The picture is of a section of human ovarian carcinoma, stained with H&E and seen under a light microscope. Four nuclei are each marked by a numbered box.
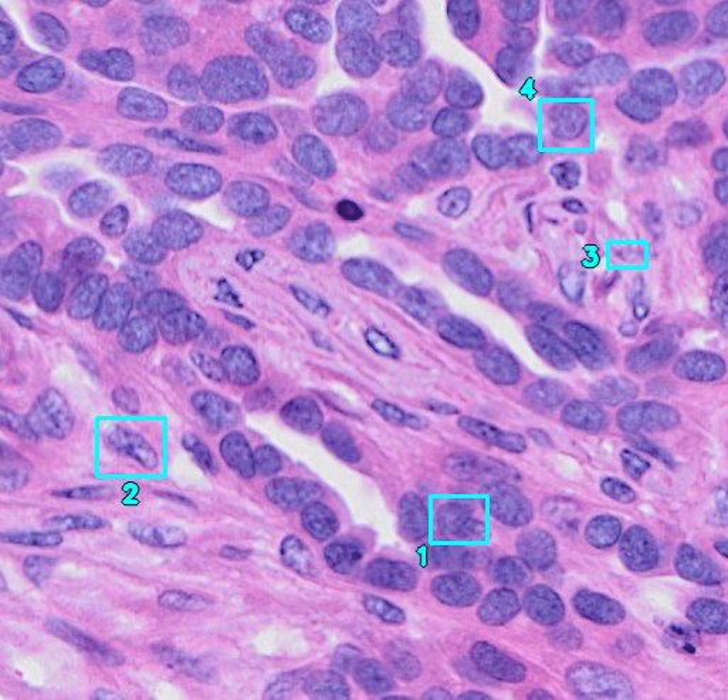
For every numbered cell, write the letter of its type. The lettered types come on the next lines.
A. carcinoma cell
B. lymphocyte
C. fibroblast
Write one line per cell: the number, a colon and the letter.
1: A
2: C
3: C
4: A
